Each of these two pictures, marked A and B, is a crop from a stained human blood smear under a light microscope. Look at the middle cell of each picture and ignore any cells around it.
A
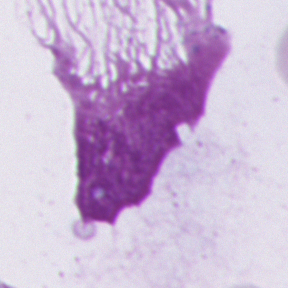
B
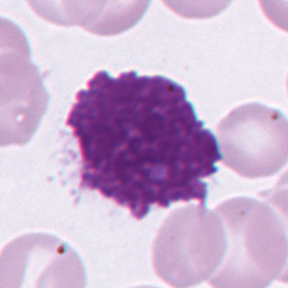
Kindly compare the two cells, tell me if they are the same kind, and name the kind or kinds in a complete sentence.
Yes, it is smudge cells that both crops show.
